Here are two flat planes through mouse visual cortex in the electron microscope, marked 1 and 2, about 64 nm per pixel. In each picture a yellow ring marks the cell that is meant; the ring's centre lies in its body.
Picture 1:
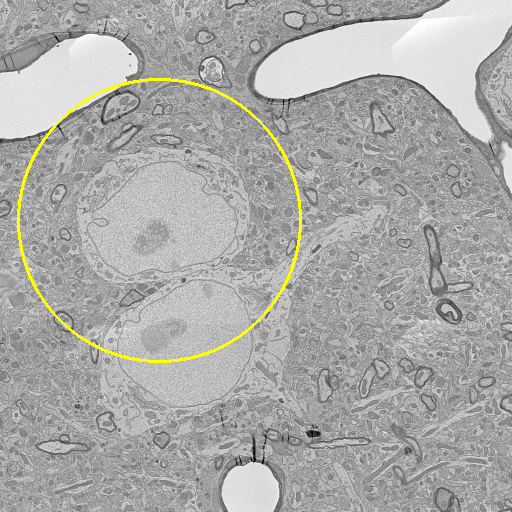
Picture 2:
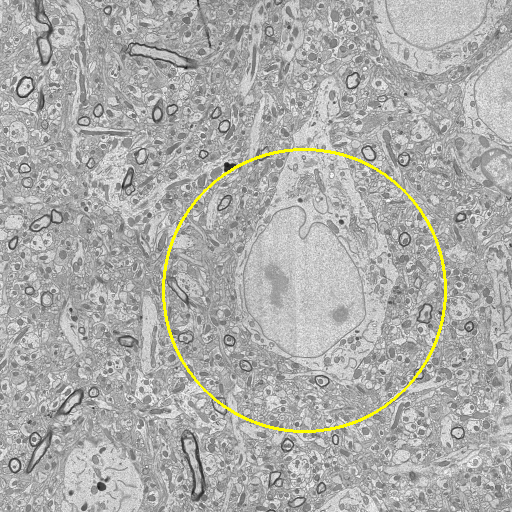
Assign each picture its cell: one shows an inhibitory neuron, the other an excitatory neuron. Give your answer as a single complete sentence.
The cell in picture 1 is an inhibitory neuron, and the one in picture 2 is an excitatory neuron.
